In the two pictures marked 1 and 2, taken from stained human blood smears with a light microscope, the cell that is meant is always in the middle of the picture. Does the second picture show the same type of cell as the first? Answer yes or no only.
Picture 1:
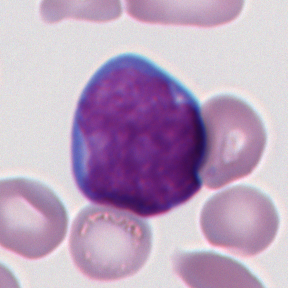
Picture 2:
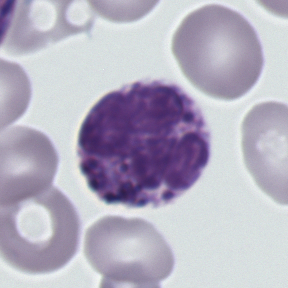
no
